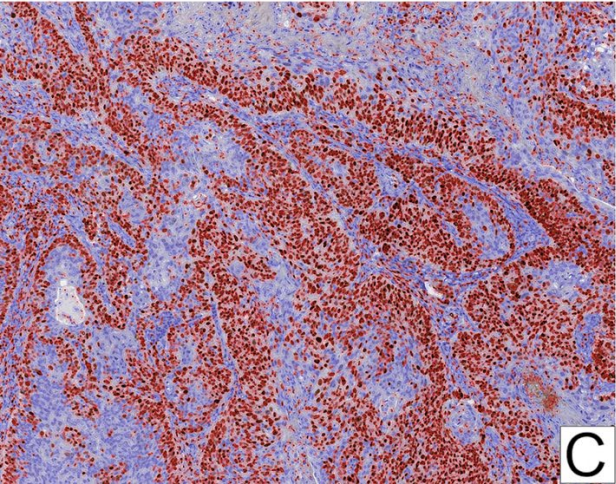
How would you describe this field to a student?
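Tumour tissue in which densely packed tumour cells form broad cords, bands and nests, most of their nuclei overlaid in red. Between these lie narrower strands of looser stroma whose more scattered nuclei are overlaid in purple-blue. A few small gland-like spaces are seen within the tumour cell masses.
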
